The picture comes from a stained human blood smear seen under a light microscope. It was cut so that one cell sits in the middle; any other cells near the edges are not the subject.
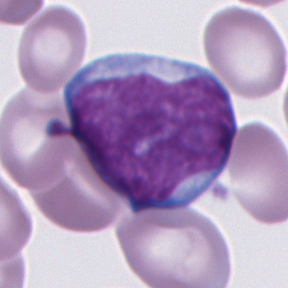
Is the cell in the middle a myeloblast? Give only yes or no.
yes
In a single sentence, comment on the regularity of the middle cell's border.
Irregular and not smooth, the cell boundary is ragged or drawn out into projections.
